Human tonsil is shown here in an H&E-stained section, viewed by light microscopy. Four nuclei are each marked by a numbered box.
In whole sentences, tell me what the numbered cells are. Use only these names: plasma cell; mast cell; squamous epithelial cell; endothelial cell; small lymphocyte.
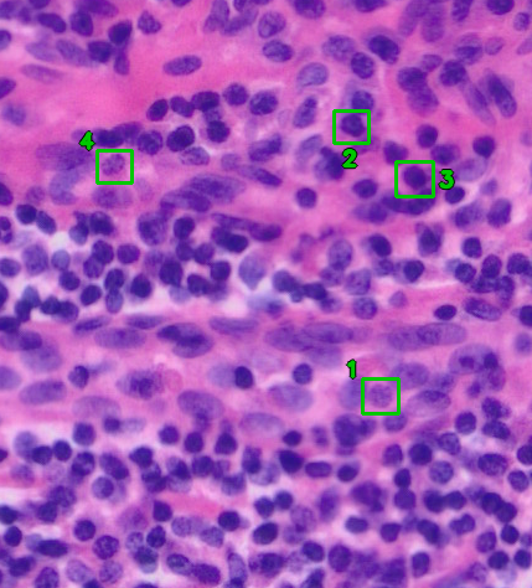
Cell 1 is an endothelial cell, cell 2 is a plasma cell, cell 3 is a plasma cell and cell 4 is an endothelial cell.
